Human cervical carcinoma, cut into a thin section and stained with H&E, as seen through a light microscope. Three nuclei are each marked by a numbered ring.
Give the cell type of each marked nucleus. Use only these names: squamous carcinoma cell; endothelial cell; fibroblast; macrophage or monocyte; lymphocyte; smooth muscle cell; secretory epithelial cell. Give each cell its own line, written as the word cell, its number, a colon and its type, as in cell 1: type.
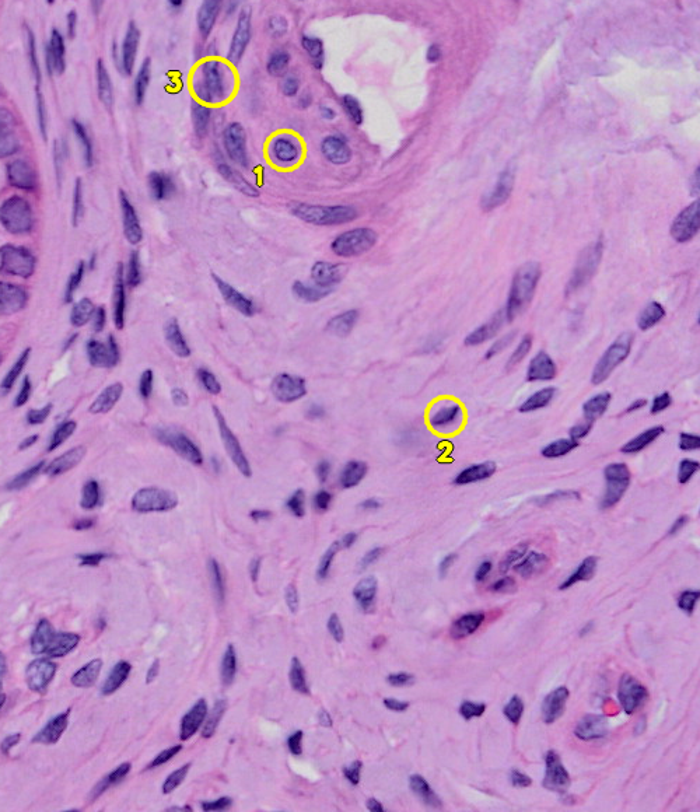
cell 1: smooth muscle cell
cell 2: fibroblast
cell 3: smooth muscle cell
